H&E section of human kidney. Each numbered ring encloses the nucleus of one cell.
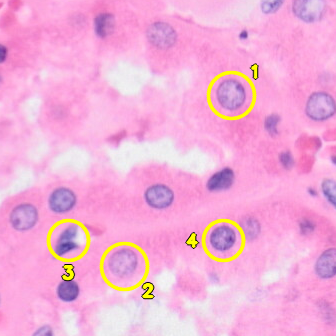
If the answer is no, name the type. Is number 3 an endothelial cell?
Yes.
